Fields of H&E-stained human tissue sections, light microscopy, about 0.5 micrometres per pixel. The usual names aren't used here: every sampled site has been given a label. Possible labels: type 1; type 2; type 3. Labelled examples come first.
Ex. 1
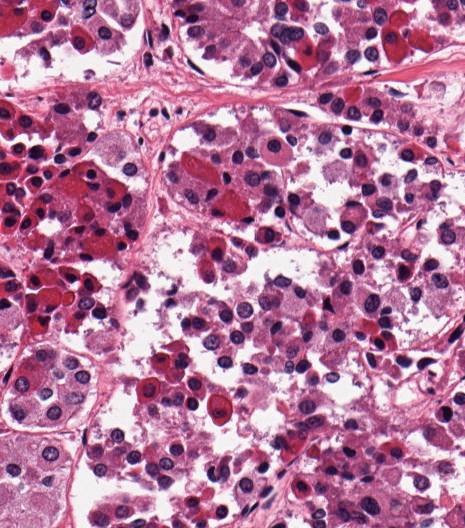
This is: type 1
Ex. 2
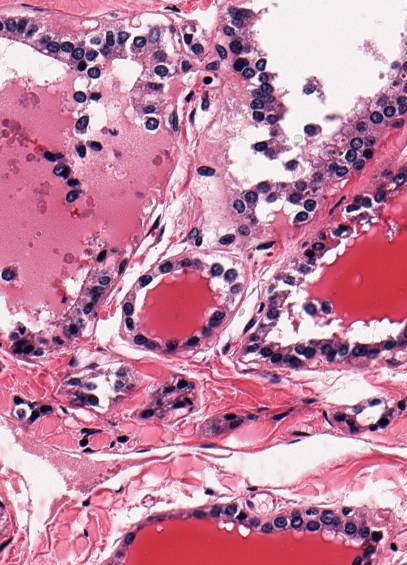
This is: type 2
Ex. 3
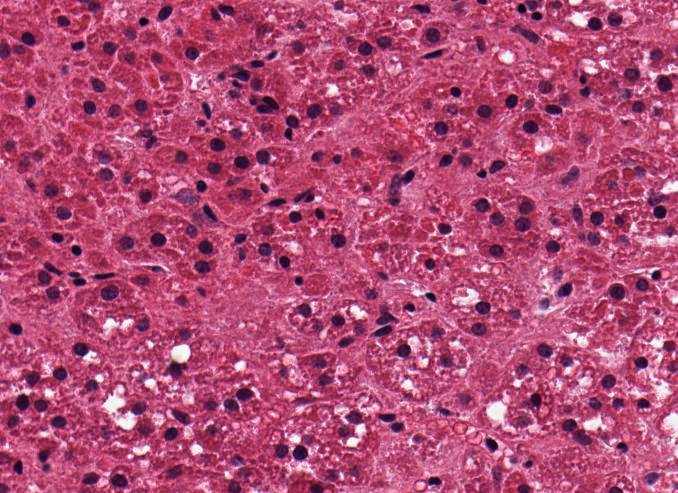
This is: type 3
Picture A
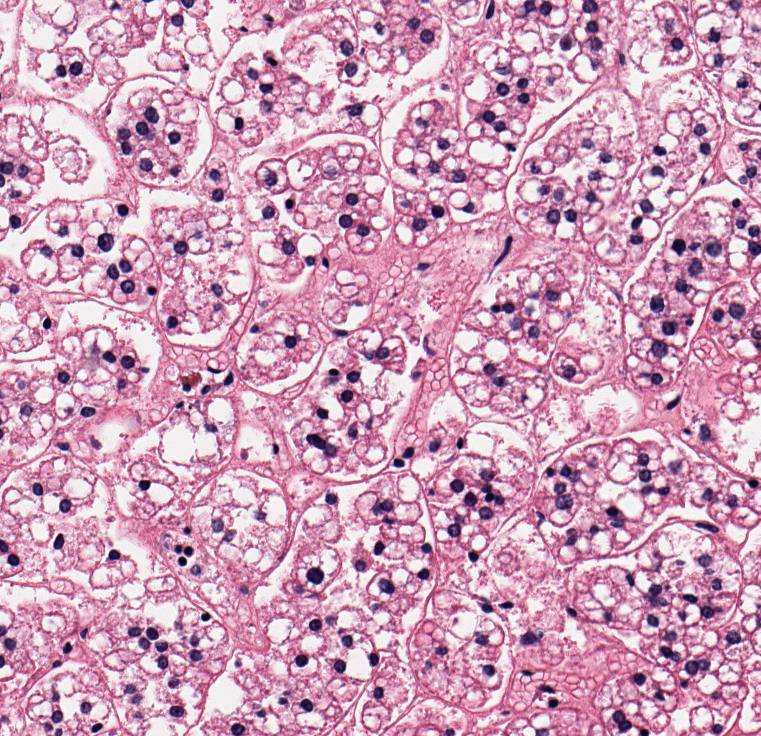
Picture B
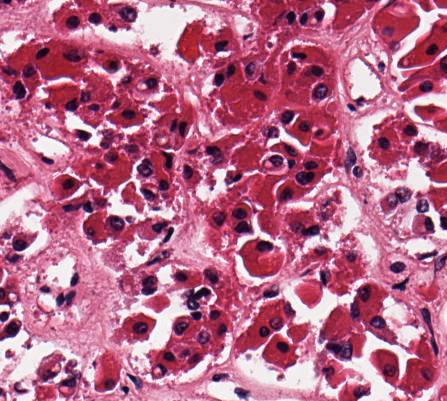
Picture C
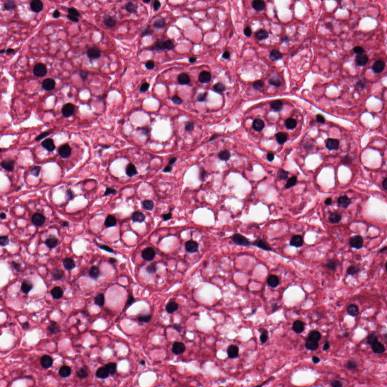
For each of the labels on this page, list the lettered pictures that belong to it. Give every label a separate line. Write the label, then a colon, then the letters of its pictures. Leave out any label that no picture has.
type 1: B
type 3: A, C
